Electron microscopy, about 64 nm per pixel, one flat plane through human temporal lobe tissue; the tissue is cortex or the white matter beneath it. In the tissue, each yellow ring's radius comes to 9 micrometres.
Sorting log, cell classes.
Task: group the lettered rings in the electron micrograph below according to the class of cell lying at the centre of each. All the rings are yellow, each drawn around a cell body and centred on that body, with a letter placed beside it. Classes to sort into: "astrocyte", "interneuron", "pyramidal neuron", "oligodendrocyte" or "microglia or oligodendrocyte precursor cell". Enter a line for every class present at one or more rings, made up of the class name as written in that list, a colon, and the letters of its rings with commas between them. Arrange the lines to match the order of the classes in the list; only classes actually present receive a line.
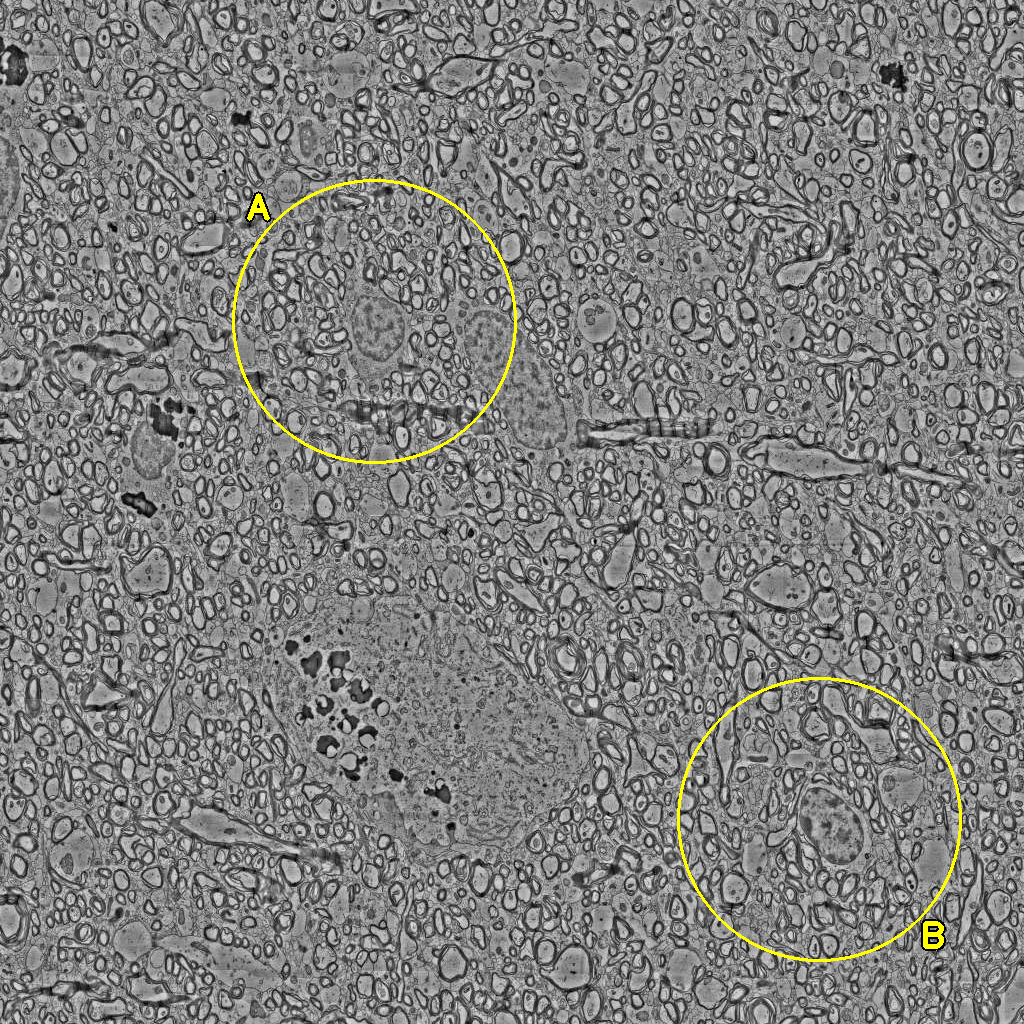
oligodendrocyte: A
microglia or oligodendrocyte precursor cell: B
